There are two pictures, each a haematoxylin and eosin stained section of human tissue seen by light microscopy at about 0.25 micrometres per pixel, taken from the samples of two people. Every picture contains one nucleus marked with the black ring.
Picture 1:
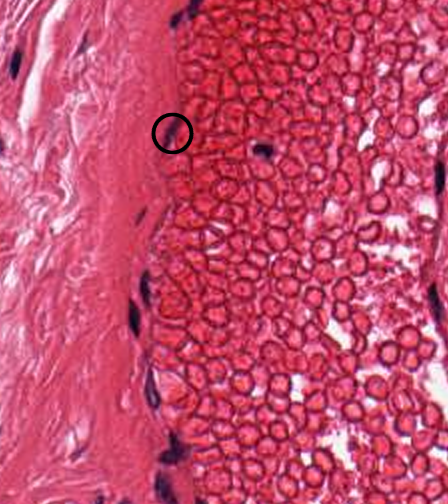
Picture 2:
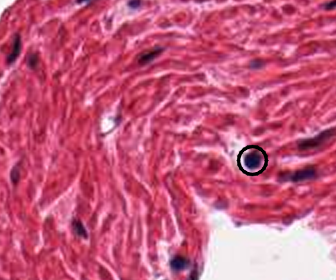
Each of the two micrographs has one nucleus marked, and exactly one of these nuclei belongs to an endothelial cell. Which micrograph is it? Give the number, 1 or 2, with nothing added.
1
